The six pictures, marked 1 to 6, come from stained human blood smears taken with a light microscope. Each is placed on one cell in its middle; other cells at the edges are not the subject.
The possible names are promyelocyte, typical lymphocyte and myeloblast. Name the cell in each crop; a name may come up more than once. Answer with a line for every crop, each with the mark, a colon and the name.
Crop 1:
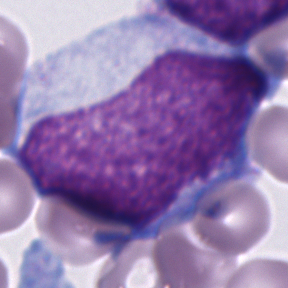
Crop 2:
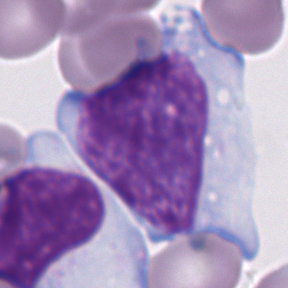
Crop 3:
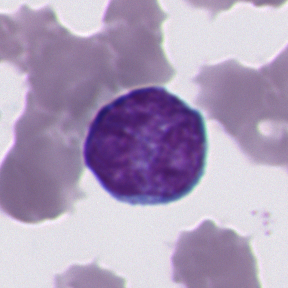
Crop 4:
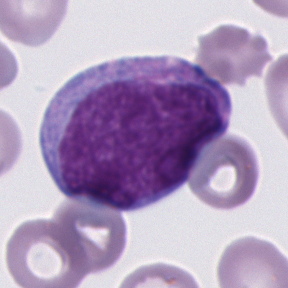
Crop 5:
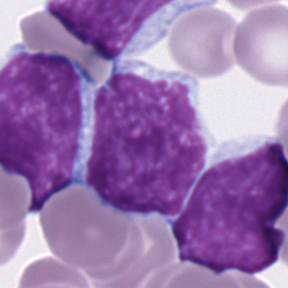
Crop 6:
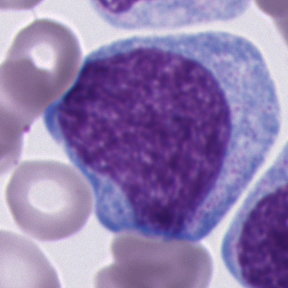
1: promyelocyte
2: myeloblast
3: typical lymphocyte
4: promyelocyte
5: typical lymphocyte
6: promyelocyte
